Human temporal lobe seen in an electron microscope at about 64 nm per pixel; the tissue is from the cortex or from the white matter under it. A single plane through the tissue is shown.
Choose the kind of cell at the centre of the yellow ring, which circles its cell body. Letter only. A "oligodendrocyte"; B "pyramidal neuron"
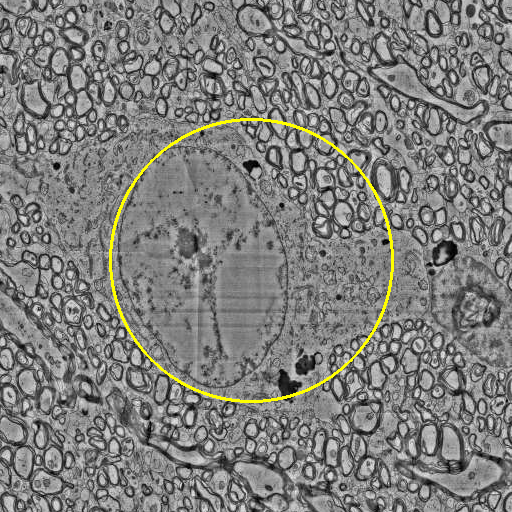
B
